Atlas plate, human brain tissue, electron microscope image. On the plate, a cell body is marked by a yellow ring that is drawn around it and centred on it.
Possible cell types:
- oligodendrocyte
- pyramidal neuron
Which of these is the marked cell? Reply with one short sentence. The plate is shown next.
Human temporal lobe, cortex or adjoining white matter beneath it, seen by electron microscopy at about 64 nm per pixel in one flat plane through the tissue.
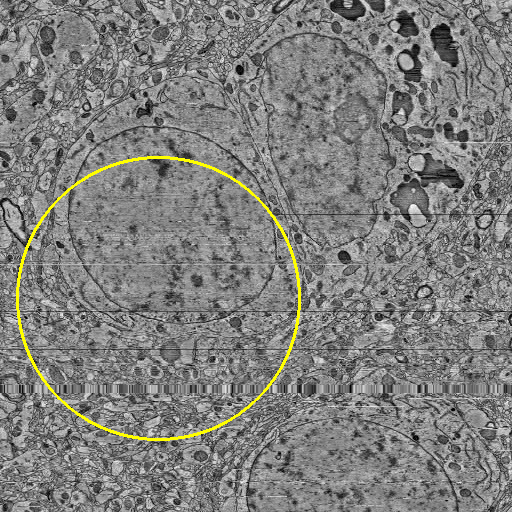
The marked cell is a pyramidal neuron.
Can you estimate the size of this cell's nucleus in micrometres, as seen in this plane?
Approximately 14 by 12 micrometers in this plane.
